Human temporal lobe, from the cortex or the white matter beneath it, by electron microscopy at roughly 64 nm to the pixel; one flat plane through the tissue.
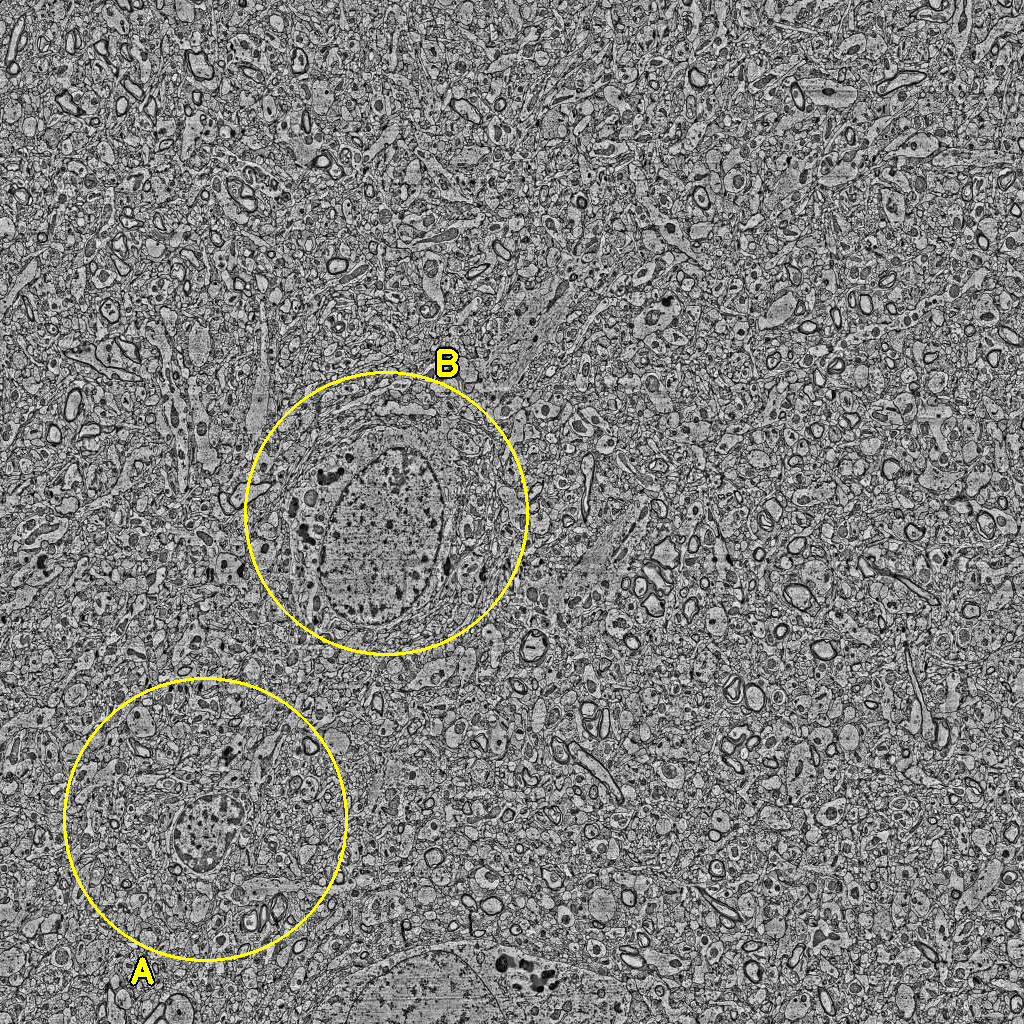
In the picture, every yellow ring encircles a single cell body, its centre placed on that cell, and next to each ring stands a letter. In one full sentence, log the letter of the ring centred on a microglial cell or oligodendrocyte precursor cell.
The ring with the requested cell at its centre bears the letter A.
